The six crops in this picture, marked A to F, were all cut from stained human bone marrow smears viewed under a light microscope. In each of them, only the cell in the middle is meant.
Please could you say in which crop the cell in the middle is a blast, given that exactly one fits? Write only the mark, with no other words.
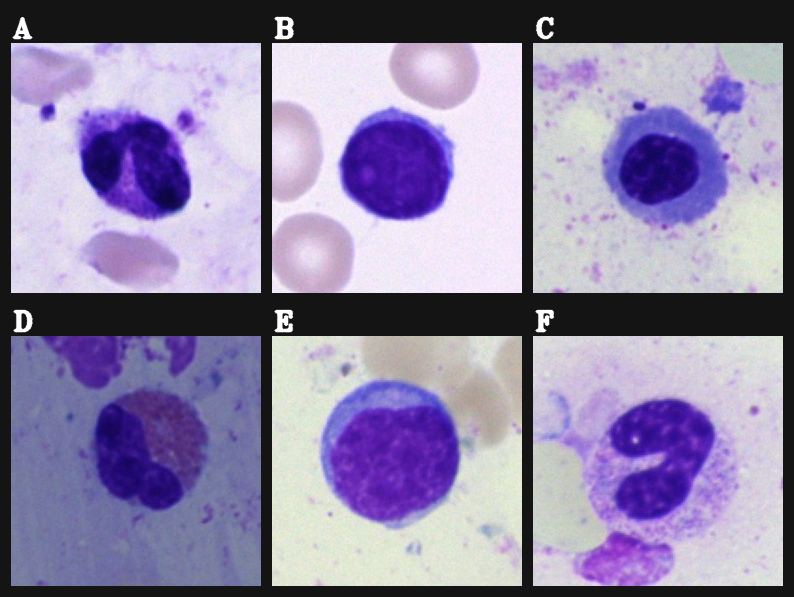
E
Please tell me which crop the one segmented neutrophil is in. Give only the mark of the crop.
A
